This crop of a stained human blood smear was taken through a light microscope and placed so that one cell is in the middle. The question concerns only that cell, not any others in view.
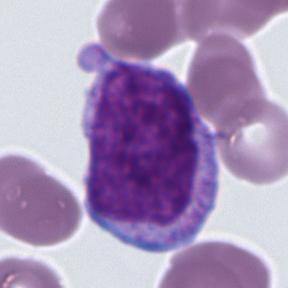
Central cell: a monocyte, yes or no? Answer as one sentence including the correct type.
No, not a monocyte here; the centered cell is an atypical promyelocyte.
